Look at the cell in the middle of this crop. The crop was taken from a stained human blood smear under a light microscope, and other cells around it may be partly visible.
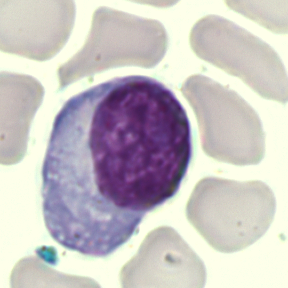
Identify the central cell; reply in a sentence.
This crop has a plasma cell at its centre.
